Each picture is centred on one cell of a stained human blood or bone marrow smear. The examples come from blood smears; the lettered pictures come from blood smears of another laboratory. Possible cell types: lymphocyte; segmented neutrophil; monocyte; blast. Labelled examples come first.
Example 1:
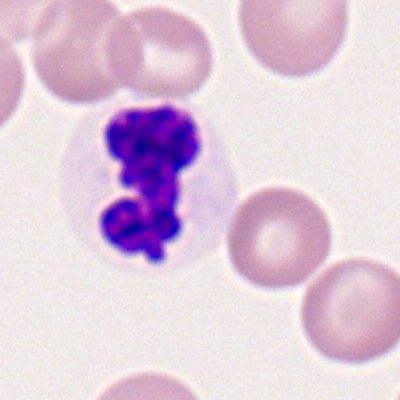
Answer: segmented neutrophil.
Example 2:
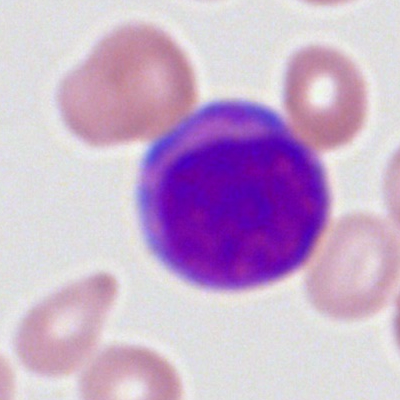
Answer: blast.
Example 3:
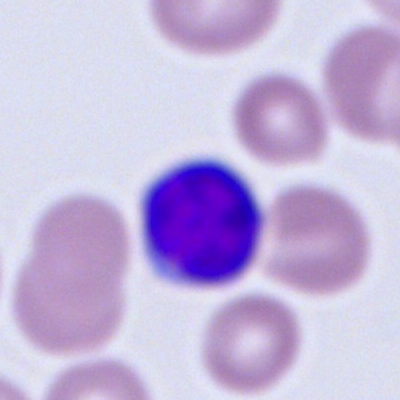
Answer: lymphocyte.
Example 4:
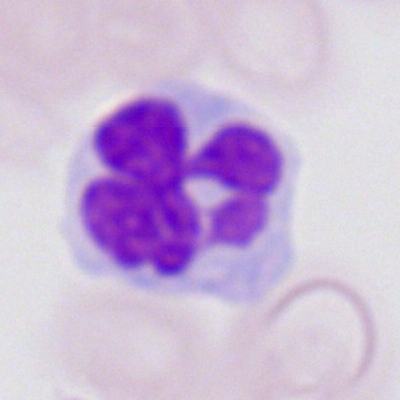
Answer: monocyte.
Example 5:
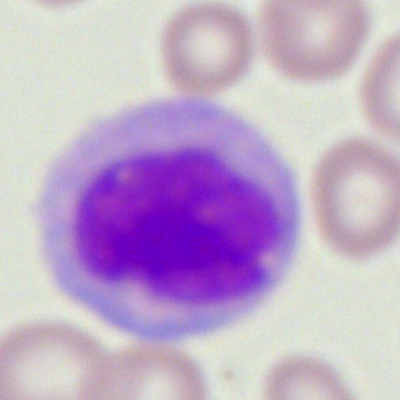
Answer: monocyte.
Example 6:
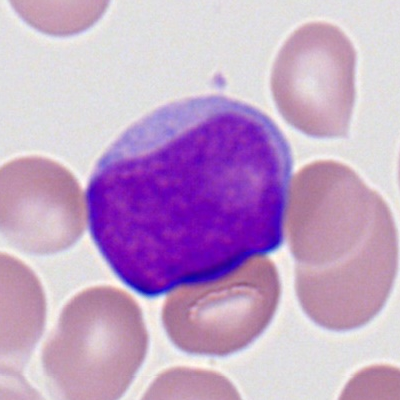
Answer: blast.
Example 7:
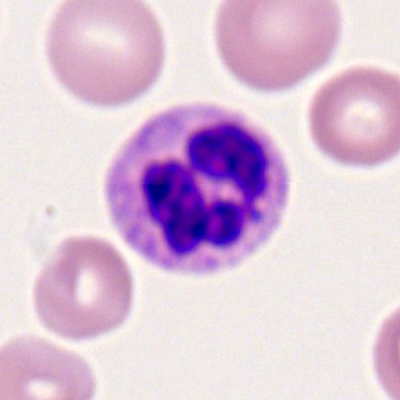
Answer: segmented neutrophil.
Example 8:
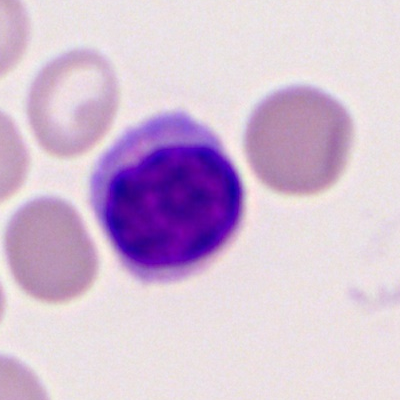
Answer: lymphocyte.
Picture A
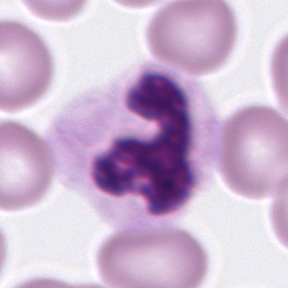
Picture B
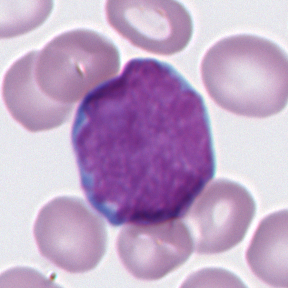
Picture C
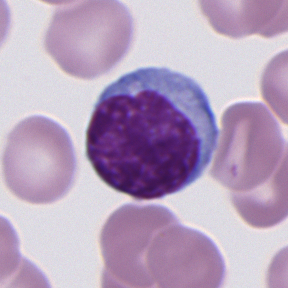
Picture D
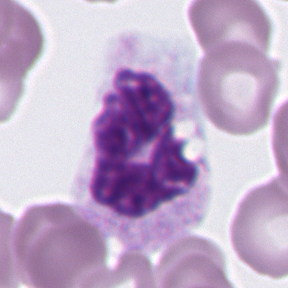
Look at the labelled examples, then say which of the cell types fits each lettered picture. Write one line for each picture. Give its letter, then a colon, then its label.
A: segmented neutrophil.
B: blast.
C: lymphocyte.
D: segmented neutrophil.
